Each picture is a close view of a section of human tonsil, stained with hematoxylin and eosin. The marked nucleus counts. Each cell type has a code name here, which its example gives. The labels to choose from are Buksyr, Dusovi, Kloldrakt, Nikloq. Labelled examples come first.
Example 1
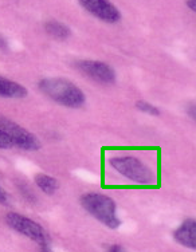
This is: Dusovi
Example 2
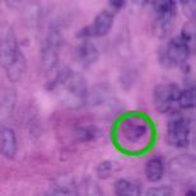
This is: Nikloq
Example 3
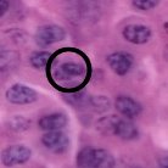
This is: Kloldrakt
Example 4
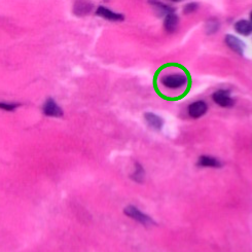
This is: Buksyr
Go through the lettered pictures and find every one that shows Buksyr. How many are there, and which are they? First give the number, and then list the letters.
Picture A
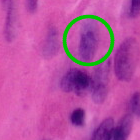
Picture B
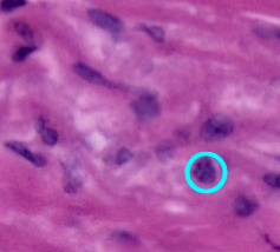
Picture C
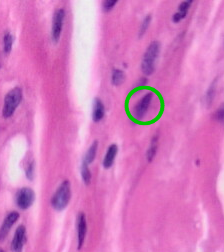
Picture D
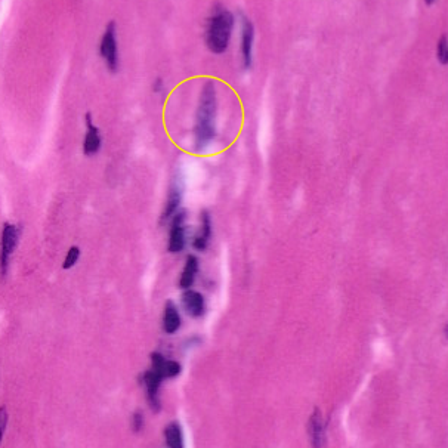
1: B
